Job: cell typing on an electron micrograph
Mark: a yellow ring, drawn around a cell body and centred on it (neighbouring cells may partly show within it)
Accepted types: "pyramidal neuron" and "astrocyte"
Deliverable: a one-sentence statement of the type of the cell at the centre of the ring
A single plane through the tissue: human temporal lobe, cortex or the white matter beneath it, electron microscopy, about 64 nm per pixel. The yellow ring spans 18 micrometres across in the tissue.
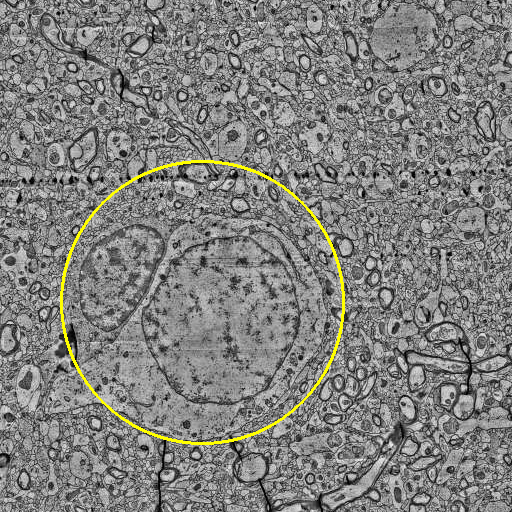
The centred cell body is that of a pyramidal neuron.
